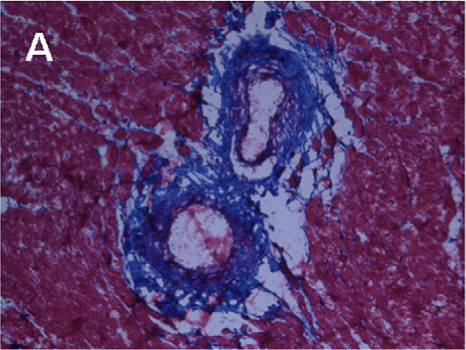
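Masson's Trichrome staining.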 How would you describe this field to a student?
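Two adjacent small blood vessels cut in cross-section lie within muscle tissue, each surrounded by a thick cuff of blue-stained fibrous tissue. The blue fibrous tissue is layered around the vessel walls and extends into the surrounding spaces, with pale open clefts beside it. The vessel lumens are round to oval and contain pale pink material. The surrounding myocytes stain red-purple and fill the rest of the field.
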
